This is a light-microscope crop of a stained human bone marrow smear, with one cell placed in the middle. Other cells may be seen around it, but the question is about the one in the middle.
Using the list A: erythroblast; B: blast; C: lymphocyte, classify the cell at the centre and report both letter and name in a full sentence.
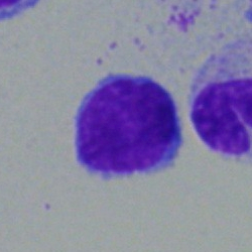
Option C is right in identifying the central cell as a lymphocyte.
